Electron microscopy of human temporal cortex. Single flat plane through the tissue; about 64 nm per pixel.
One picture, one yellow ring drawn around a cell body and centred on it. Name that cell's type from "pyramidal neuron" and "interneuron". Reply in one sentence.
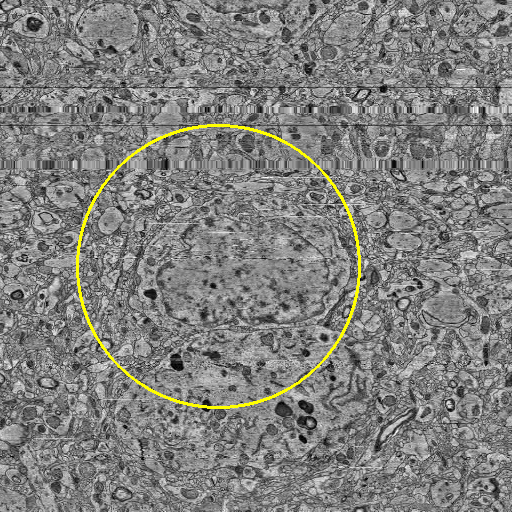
Centred in the ring is an interneuron.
